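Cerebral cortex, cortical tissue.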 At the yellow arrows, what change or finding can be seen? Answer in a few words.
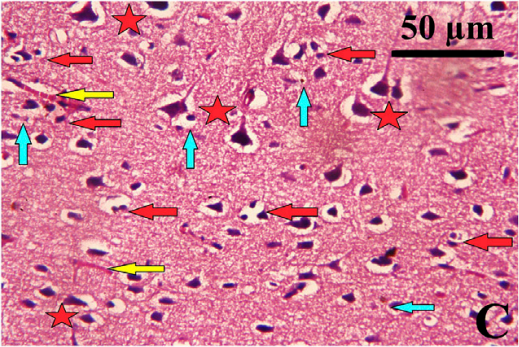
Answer: Congested blood vessels.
